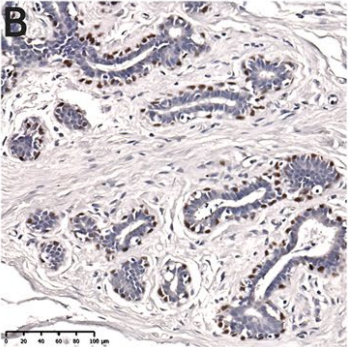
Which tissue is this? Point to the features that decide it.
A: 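Normal breast tissue. Small ducts and acini with open lumens lined by a thin epithelium. Brown-stained nuclei form an outer layer around each duct. Ducts lie in loose fibrous stroma.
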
